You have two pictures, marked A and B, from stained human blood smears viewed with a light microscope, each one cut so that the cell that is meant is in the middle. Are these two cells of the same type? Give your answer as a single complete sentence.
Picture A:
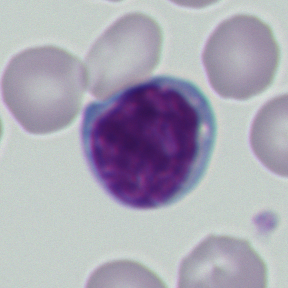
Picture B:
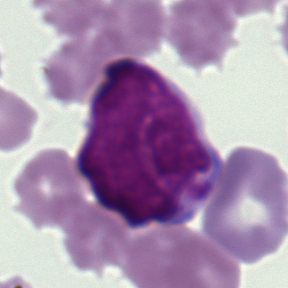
No. Picture A shows a typical lymphocyte, but picture B shows a myeloblast.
